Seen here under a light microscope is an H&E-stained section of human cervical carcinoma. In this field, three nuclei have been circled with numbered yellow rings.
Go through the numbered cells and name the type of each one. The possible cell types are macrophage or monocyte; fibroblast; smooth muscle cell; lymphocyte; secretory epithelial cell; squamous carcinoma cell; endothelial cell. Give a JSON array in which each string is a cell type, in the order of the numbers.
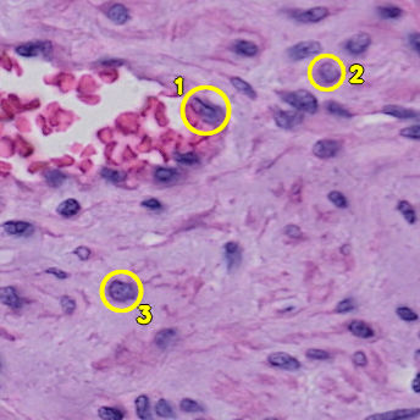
["endothelial cell", "smooth muscle cell", "smooth muscle cell"]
